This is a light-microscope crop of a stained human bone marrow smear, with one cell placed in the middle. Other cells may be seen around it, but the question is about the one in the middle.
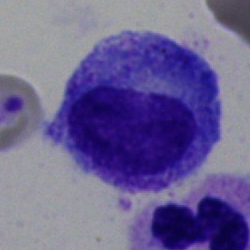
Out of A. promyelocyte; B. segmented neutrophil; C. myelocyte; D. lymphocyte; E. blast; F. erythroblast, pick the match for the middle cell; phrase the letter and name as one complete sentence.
According to option A, which is correct, the cell in the middle is a promyelocyte.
